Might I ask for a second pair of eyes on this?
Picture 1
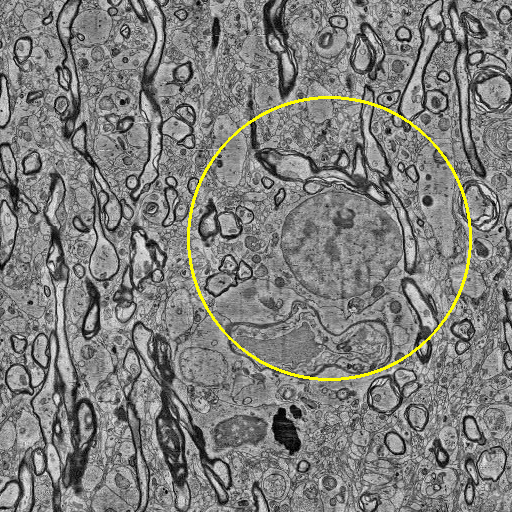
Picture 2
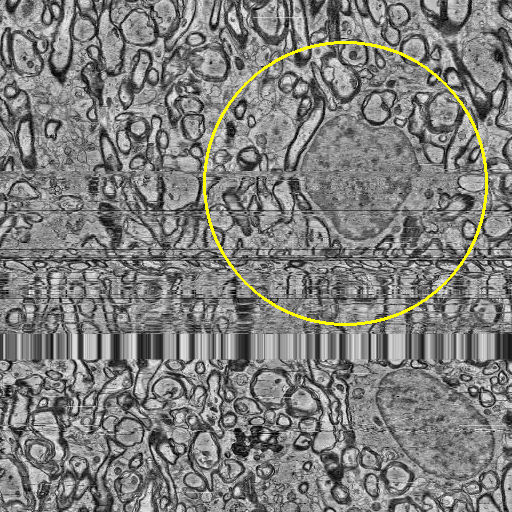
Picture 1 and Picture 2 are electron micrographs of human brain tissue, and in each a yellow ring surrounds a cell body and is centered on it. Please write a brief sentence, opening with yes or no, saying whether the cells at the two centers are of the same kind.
Yes, the cells are of the same kind.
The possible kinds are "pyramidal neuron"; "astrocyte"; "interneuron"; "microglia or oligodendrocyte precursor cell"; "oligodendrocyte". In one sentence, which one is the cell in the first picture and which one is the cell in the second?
In the first picture and in the second, the ring is centred on an oligodendrocyte.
